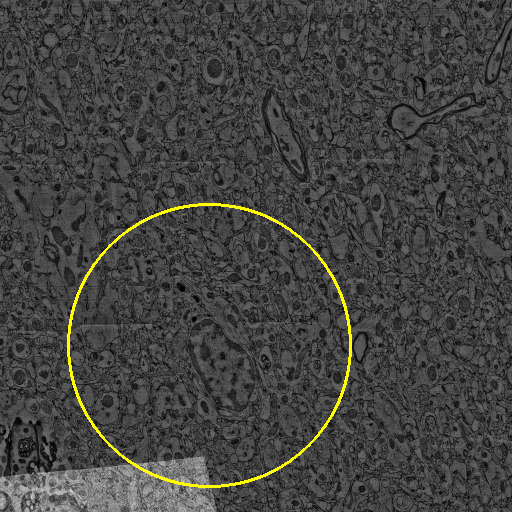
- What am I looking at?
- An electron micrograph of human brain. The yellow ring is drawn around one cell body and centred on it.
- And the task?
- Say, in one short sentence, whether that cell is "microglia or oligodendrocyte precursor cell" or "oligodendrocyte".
The cell in the middle of the ring is a microglial cell or oligodendrocyte precursor cell.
